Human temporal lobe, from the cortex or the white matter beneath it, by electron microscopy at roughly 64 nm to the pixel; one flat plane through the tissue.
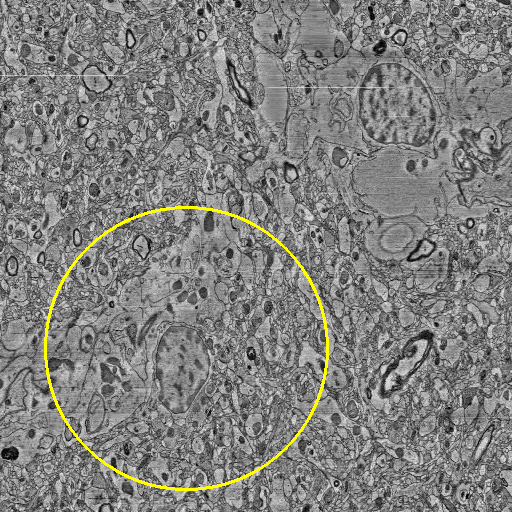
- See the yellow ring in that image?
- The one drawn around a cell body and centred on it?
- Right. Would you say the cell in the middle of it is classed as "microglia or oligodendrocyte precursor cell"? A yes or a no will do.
yes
